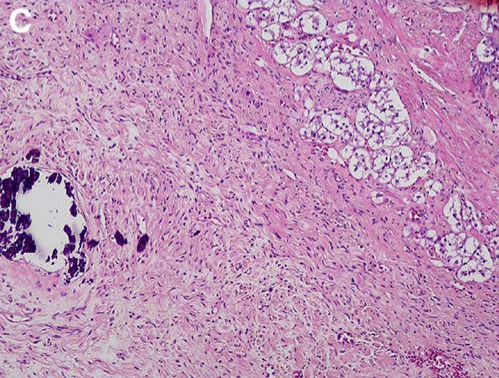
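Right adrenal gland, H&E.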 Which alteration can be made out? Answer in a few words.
dystrophic calcification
